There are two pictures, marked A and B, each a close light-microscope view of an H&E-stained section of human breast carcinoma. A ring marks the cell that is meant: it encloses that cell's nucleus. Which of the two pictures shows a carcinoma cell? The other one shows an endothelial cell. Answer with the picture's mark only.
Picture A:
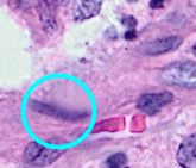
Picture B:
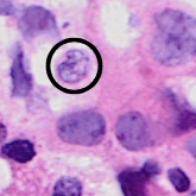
B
